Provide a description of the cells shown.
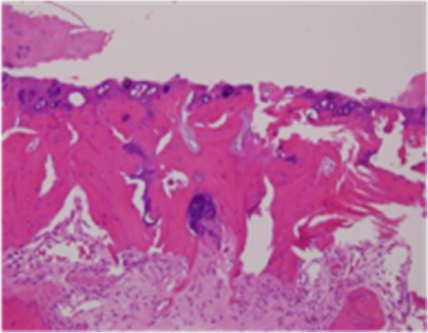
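Only a thin, irregular layer with clusters of dark purple cells remains directly on the bone, and a pale detached fragment of tissue floats above the surface. The underlying bone is deep pink, with irregular, jagged trabeculae reaching close to the joint surface. In the lower part, the marrow spaces no longer show the fat vacuoles and packed blood-forming cells of normal marrow but are filled with pale, loosely fibrous tissue containing scattered elongated cells.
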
